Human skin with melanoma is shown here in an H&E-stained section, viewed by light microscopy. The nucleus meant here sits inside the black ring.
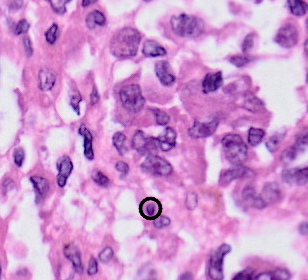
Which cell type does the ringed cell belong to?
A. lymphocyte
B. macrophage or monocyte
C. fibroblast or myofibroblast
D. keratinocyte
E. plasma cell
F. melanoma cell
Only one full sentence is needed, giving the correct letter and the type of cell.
In short, option B: the ringed cell is a macrophage or monocyte.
